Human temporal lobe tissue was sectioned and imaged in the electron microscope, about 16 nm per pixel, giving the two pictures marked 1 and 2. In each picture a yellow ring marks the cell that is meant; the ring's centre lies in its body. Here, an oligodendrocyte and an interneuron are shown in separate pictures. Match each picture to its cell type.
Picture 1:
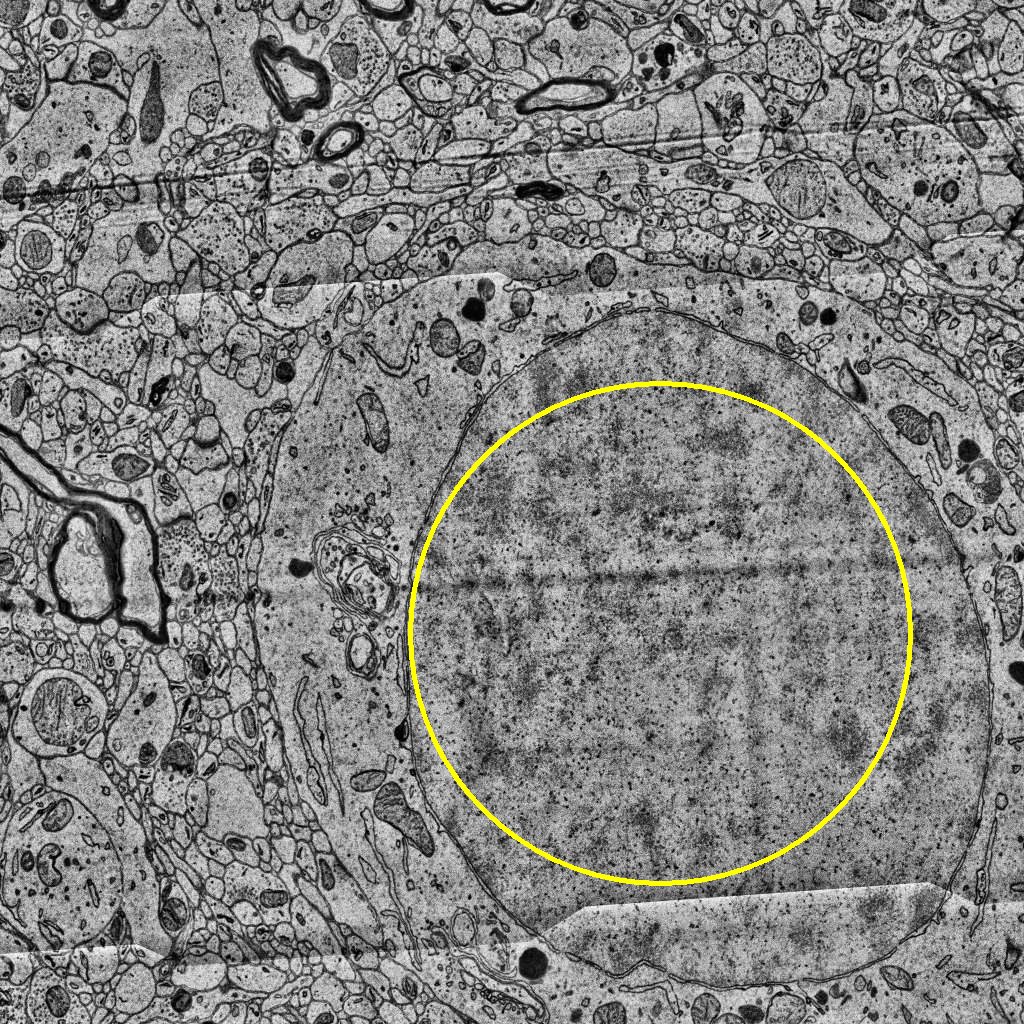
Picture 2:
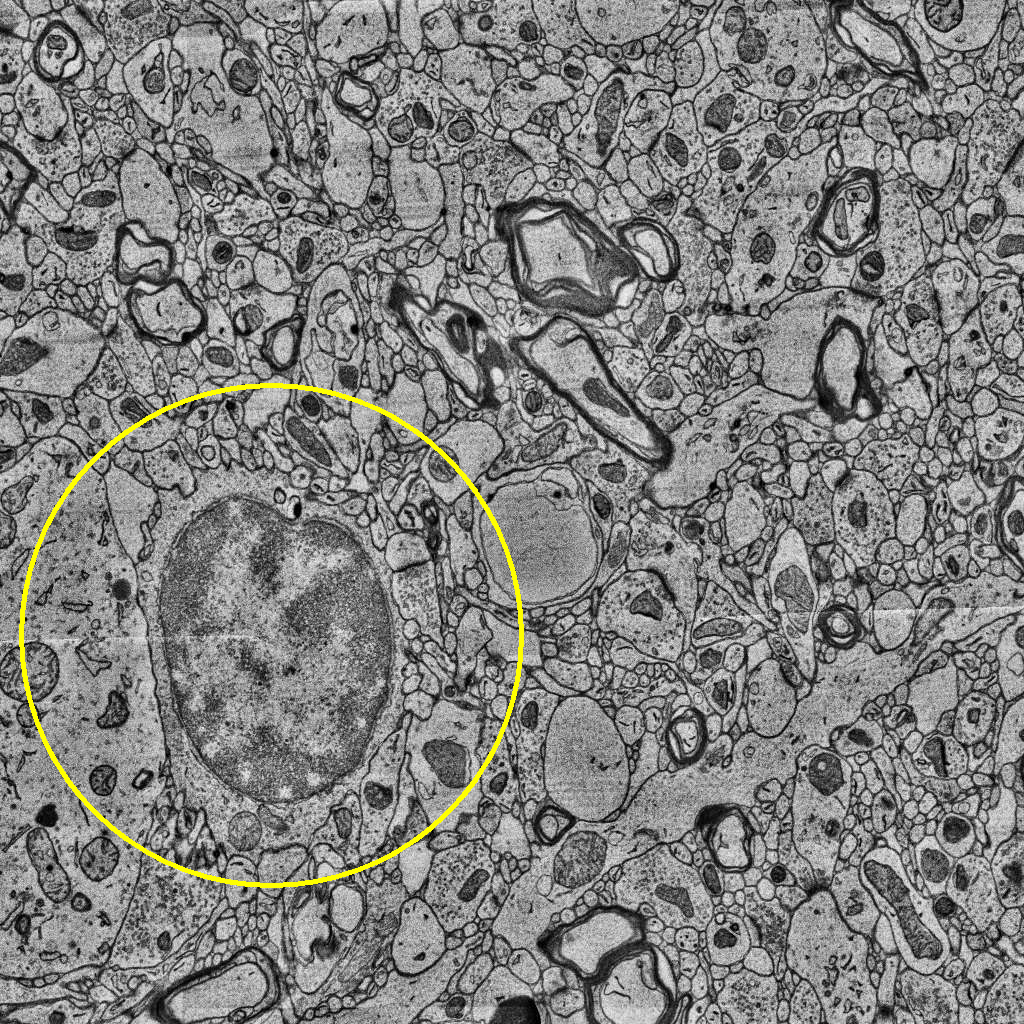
In picture 1 the cell is an interneuron; in picture 2, an oligodendrocyte.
